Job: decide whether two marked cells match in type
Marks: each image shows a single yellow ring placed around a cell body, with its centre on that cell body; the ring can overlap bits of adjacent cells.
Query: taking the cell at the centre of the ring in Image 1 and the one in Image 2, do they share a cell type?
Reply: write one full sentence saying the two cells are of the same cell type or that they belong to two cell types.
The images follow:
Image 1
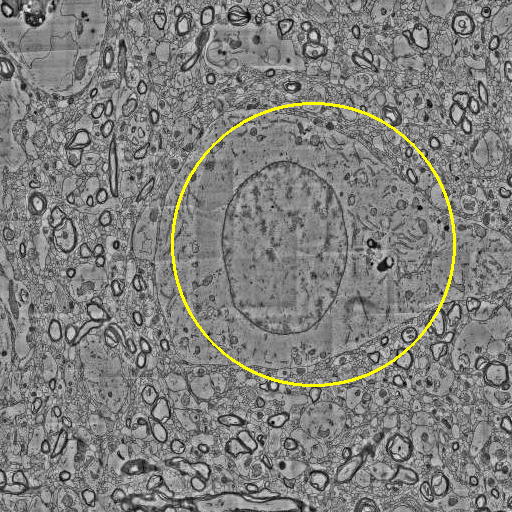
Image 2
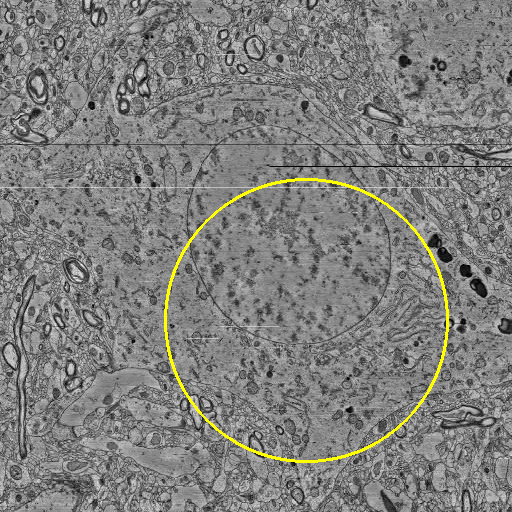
The cells at the ring centres in Image 1 and Image 2 are of the same cell type.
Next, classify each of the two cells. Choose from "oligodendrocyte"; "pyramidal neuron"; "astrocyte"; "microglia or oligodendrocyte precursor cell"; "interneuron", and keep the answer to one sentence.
Both rings mark a pyramidal neuron, one in each picture.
